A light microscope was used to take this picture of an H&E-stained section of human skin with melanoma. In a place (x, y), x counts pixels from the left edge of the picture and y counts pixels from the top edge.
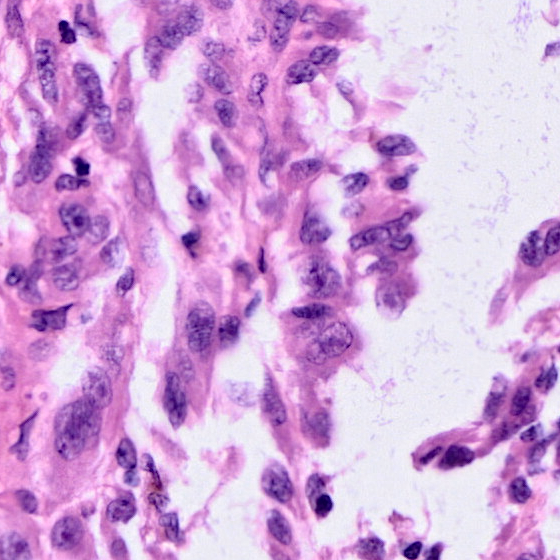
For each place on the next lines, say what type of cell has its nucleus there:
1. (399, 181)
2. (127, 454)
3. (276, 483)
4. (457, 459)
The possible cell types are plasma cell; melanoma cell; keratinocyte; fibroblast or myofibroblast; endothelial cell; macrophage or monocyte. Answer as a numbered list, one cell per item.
1. macrophage or monocyte
2. macrophage or monocyte
3. melanoma cell
4. melanoma cell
